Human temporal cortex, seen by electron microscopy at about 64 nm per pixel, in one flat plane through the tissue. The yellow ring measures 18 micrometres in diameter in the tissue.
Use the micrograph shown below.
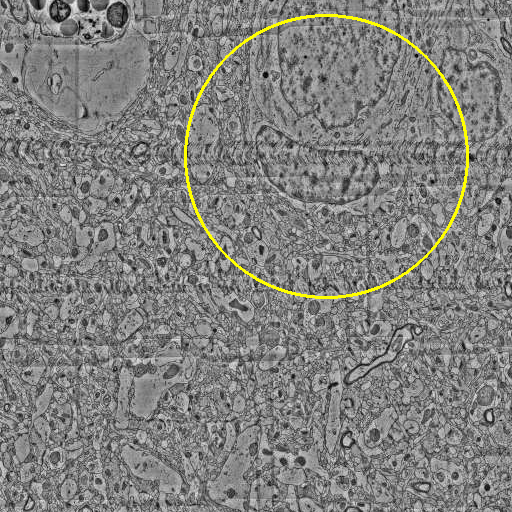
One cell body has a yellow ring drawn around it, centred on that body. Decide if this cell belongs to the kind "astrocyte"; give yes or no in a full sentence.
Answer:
No, the cell lying at the ring's centre in the micrograph is of another kind.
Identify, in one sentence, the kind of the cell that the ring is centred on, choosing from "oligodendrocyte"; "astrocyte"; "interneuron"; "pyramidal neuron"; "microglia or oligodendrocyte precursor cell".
Instead, the cell at the centre of the yellow ring is a microglial cell or oligodendrocyte precursor cell.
